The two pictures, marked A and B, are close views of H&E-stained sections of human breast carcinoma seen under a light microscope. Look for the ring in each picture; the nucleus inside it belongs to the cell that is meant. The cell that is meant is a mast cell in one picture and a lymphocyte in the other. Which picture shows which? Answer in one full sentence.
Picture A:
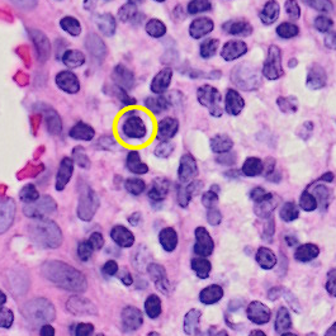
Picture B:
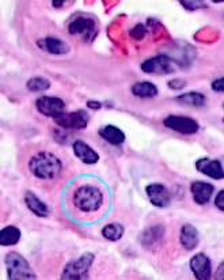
The cell in picture A is a lymphocyte, and the one in picture B is a mast cell.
